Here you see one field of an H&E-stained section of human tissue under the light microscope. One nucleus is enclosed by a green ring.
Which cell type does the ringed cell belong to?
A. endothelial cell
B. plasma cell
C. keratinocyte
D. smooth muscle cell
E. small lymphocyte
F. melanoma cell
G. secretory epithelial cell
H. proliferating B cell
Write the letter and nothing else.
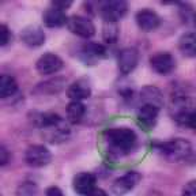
H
